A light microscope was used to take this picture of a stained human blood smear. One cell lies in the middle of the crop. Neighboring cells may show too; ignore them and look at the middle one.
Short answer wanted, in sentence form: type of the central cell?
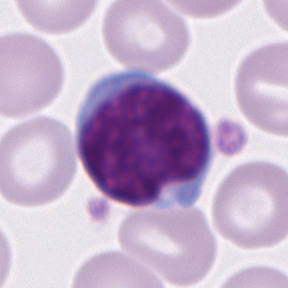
The cell found in the middle of this crop is a lymphocyte.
